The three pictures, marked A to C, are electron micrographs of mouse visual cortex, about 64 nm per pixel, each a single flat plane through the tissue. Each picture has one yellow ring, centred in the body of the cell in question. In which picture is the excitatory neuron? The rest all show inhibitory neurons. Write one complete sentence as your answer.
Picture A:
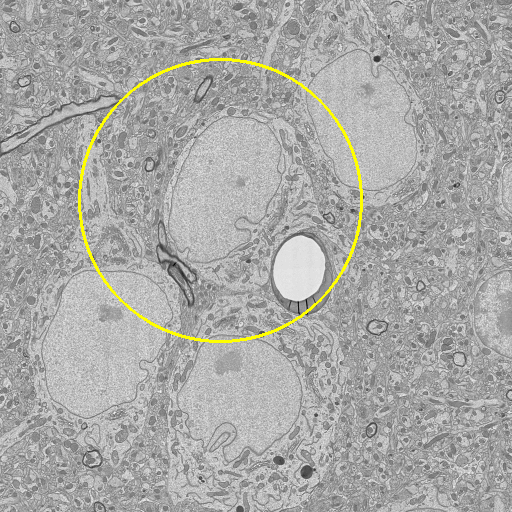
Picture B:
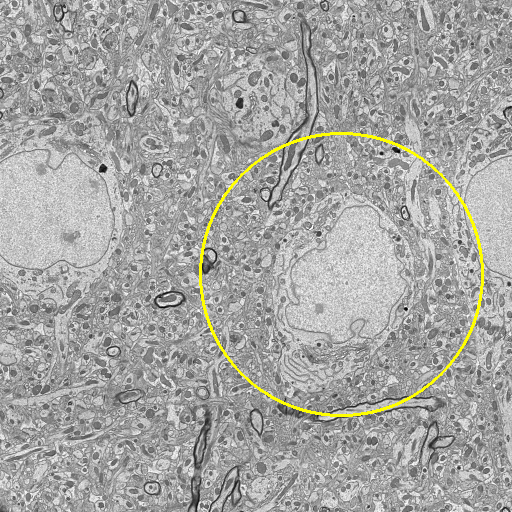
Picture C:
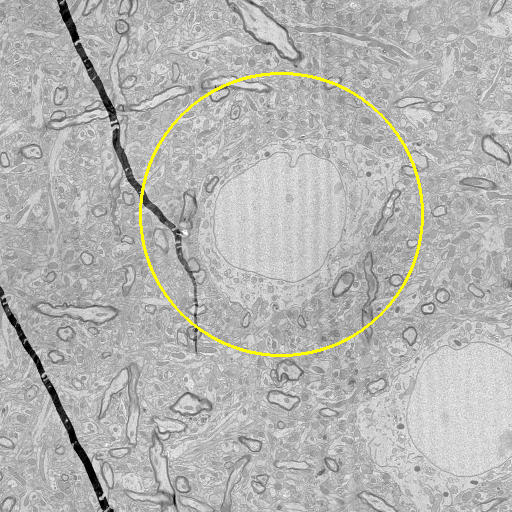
Picture C is the one that shows the excitatory neuron.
